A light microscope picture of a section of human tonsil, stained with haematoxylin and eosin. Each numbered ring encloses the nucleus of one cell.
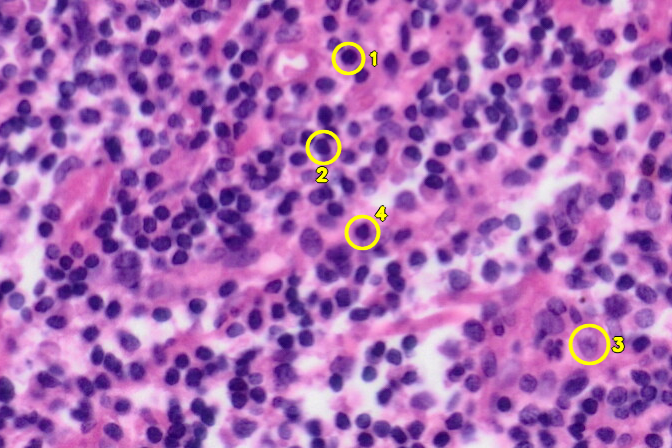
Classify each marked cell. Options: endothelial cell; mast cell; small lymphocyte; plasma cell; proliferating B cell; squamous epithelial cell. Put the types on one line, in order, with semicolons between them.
plasma cell; small lymphocyte; endothelial cell; endothelial cell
